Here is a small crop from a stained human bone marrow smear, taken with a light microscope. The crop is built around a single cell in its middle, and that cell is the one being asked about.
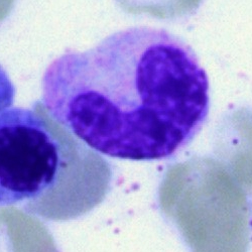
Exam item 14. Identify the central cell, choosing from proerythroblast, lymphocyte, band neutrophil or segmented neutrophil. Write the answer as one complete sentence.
In the centre of this crop there is a band neutrophil.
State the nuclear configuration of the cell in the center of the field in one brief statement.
A single compact nucleus, round, oval or kidney-shaped, is what this cell shows.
